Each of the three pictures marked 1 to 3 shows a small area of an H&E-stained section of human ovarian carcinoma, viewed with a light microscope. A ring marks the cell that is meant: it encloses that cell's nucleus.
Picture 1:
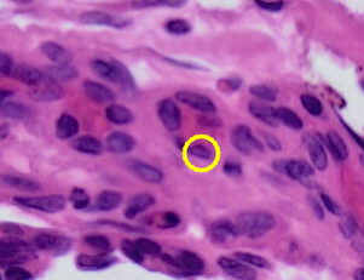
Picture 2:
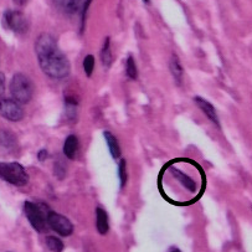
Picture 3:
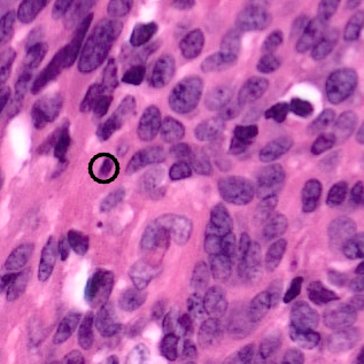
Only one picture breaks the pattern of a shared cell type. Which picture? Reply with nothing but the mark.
2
